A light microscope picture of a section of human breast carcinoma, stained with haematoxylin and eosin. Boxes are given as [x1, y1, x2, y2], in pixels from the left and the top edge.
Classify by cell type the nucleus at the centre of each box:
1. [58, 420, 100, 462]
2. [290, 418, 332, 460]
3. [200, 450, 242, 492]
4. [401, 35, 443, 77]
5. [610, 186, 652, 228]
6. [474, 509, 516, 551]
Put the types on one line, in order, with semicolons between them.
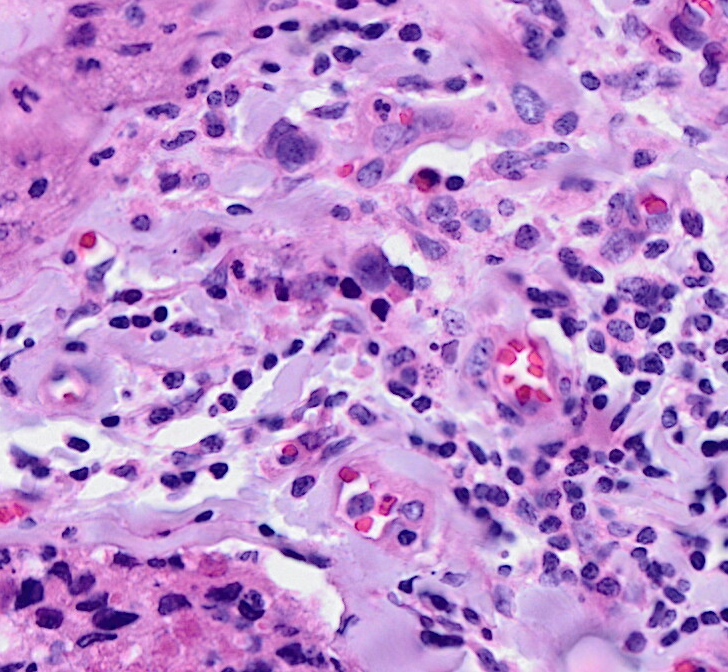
lymphocyte; endothelial cell; lymphocyte; lymphocyte; endothelial cell; lymphocyte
